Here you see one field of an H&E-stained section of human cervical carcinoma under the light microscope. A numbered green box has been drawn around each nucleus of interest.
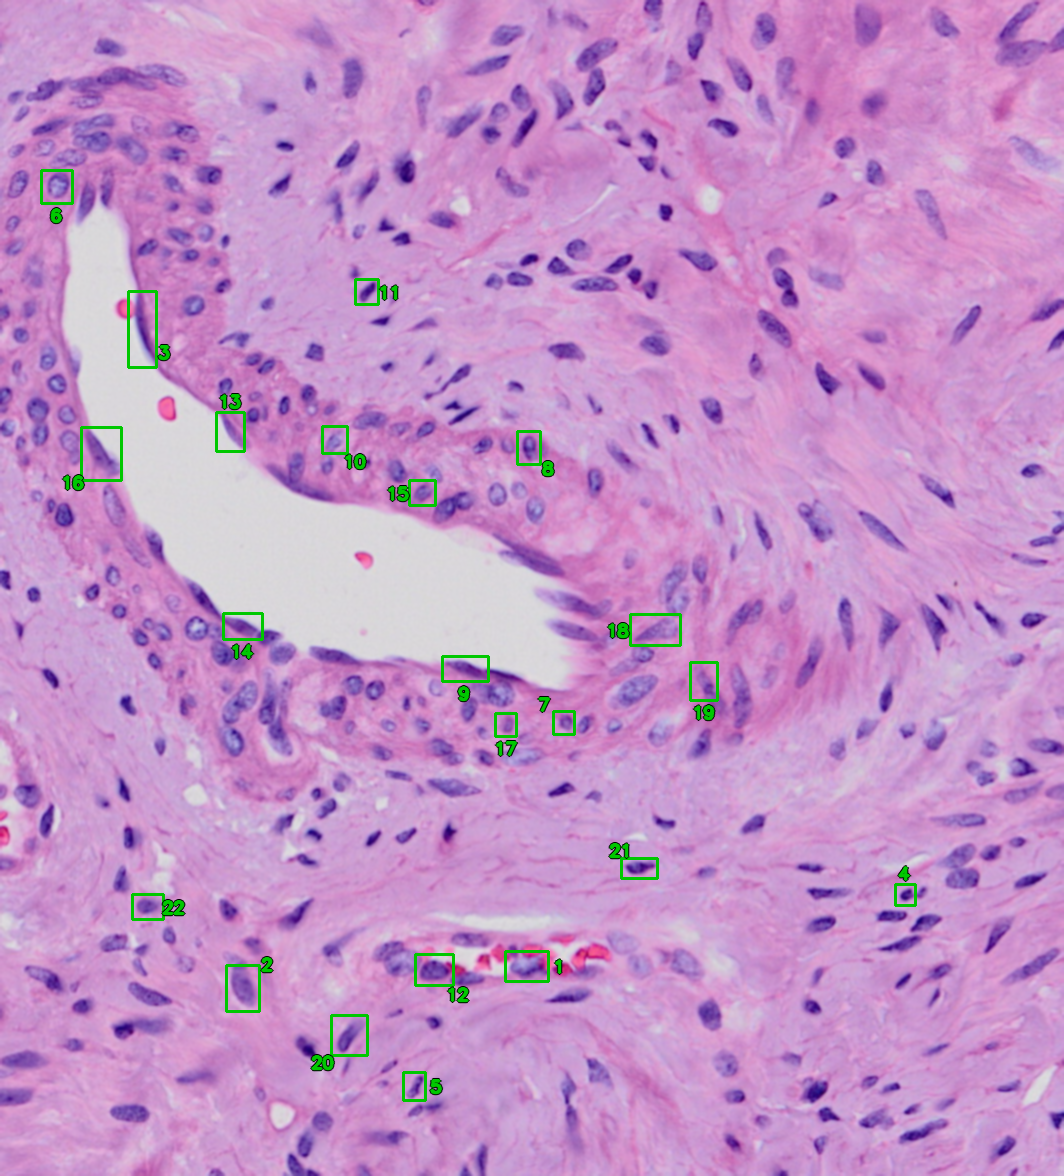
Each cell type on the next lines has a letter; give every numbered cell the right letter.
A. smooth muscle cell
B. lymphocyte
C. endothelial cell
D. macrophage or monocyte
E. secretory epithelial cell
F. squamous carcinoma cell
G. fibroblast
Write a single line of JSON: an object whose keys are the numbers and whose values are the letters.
{"1": "C", "2": "G", "3": "C", "4": "G", "5": "G", "6": "A", "7": "A", "8": "A", "9": "C", "10": "A", "11": "G", "12": "C", "13": "C", "14": "C", "15": "A", "16": "C", "17": "A", "18": "A", "19": "A", "20": "G", "21": "G", "22": "G"}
